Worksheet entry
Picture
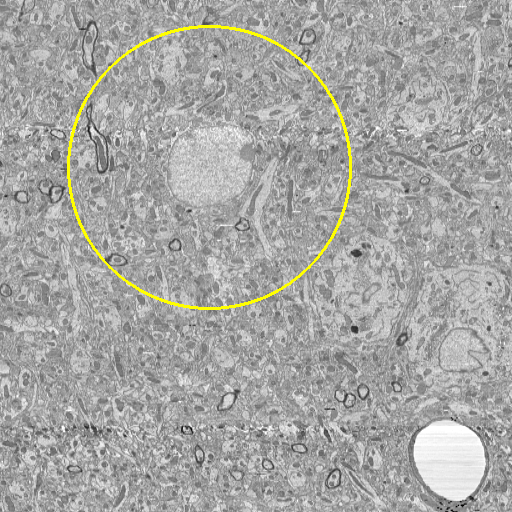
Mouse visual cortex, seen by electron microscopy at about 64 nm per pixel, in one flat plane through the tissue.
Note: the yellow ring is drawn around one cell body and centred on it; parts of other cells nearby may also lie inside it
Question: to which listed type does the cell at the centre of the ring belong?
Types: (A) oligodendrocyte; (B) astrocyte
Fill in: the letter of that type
B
